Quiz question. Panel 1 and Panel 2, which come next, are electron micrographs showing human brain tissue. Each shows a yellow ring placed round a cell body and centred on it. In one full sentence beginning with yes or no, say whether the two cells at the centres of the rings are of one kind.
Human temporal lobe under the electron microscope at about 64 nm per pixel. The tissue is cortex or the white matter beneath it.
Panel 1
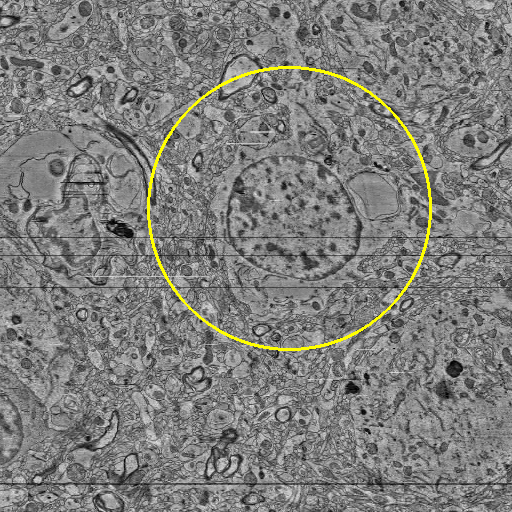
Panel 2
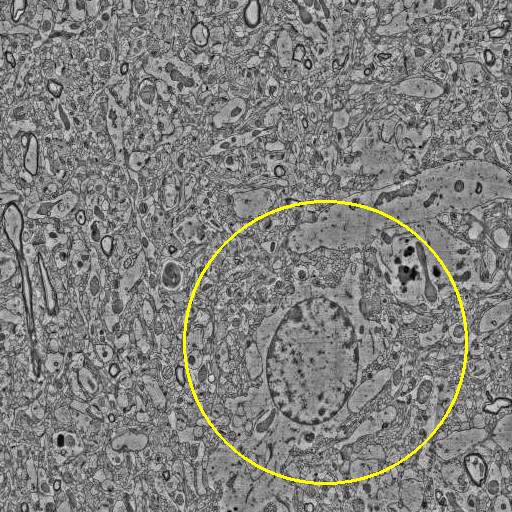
Yes, Panel 1 and Panel 2 show one kind of cell at the centre of the ring.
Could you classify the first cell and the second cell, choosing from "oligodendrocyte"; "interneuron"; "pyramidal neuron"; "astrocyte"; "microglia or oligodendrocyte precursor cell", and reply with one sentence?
Both pictures show an astrocyte at the centre of the ring.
